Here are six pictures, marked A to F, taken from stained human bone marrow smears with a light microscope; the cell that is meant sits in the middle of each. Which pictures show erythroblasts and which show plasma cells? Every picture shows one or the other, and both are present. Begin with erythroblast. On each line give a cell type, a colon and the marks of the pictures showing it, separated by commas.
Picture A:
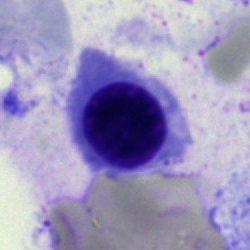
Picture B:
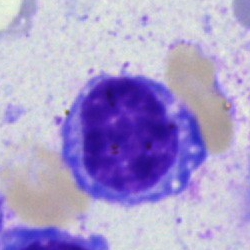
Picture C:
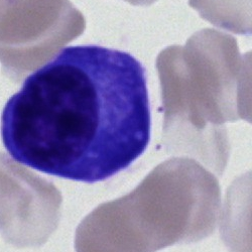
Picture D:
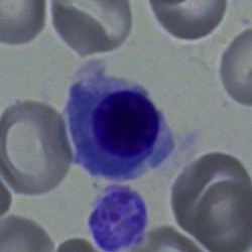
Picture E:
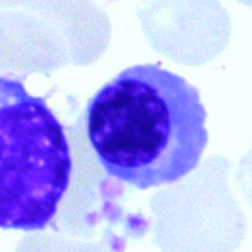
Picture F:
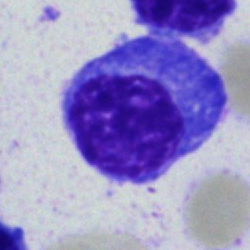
erythroblast: A, D, E
plasma cell: B, C, F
